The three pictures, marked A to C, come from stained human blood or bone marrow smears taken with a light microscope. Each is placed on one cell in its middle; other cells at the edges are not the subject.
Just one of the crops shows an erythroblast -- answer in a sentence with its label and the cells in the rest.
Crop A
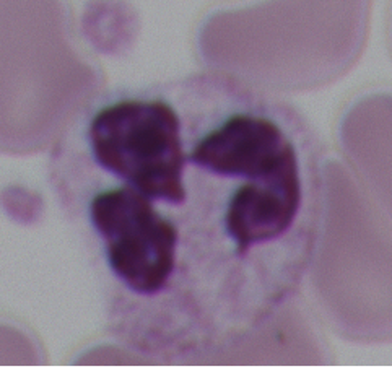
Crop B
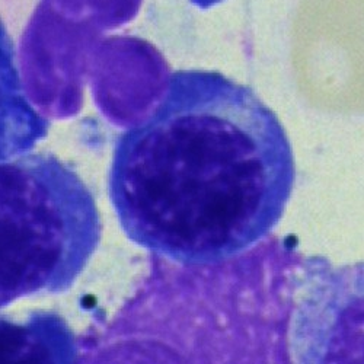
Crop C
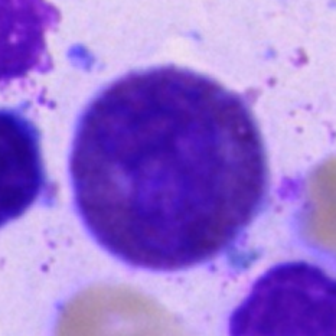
Crop B is classified as an erythroblast, whereas crop A is a segmented neutrophil and crop C is an eosinophil.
